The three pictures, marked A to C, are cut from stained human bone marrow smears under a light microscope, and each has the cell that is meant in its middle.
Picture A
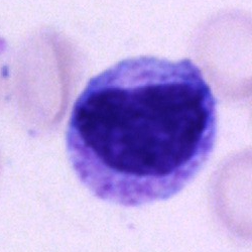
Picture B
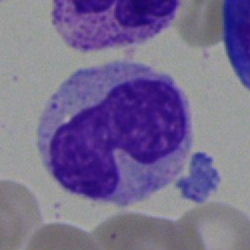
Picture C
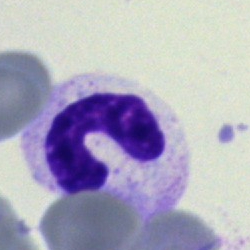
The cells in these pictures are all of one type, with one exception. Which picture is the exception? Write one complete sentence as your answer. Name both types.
The others show band neutrophils, but picture A shows a metamyelocyte.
